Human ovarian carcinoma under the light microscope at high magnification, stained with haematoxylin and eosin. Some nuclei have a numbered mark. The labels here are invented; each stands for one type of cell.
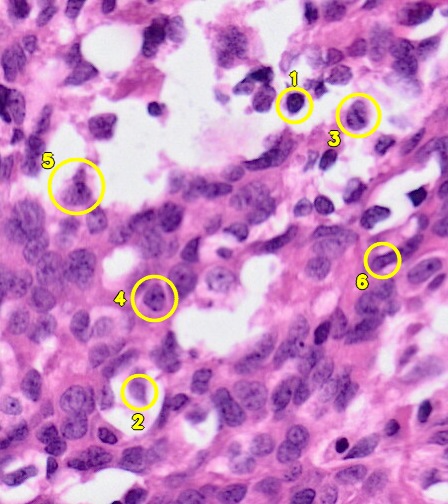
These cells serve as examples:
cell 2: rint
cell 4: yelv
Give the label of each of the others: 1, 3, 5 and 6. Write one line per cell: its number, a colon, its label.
1: rint
3: yelv
5: yelv
6: rint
